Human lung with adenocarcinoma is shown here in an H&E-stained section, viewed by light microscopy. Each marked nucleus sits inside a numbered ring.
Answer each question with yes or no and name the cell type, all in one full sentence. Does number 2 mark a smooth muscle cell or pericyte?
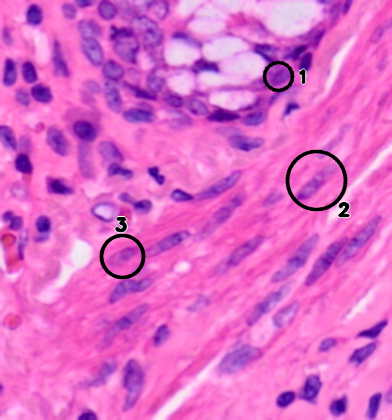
Yes, regarding number 2, the cell is a smooth muscle cell or pericyte.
